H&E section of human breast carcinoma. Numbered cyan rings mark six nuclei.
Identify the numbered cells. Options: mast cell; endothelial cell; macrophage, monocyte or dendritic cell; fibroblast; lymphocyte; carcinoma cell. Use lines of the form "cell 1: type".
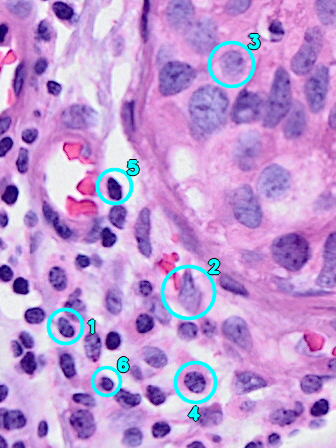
cell 1: lymphocyte
cell 2: endothelial cell
cell 3: carcinoma cell
cell 4: mast cell
cell 5: lymphocyte
cell 6: lymphocyte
